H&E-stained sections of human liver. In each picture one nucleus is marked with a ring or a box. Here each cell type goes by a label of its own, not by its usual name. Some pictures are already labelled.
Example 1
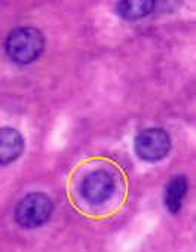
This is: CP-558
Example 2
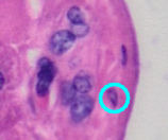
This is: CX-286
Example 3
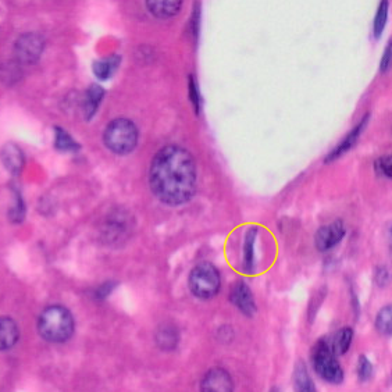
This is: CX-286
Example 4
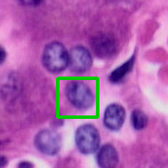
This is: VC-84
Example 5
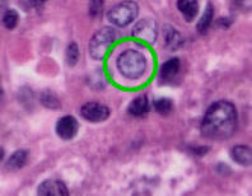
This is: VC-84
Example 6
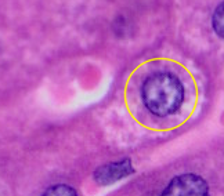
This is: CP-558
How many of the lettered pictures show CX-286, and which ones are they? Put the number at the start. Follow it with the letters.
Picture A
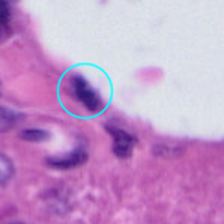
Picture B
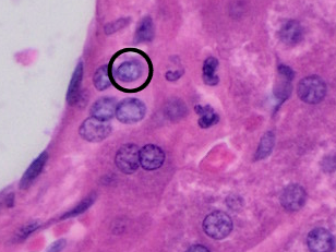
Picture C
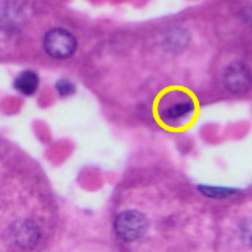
2: A, C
